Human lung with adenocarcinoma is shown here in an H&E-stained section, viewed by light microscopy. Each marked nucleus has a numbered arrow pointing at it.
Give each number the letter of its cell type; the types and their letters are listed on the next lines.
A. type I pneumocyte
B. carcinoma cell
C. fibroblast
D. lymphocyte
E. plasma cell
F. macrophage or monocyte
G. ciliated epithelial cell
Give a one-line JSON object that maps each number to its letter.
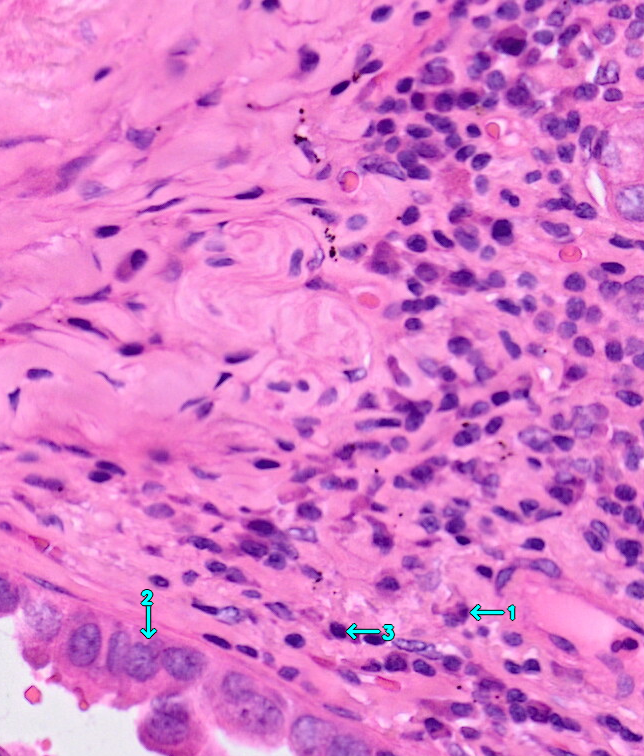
{"1": "E", "2": "B", "3": "E"}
